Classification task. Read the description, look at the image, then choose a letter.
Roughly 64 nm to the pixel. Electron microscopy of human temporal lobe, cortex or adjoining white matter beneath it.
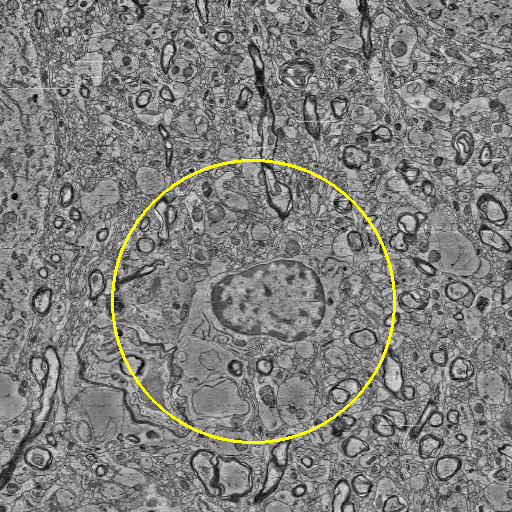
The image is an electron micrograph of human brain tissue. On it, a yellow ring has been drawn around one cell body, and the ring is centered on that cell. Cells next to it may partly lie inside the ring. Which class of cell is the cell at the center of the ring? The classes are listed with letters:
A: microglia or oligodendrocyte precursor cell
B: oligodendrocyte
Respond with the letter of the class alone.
A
